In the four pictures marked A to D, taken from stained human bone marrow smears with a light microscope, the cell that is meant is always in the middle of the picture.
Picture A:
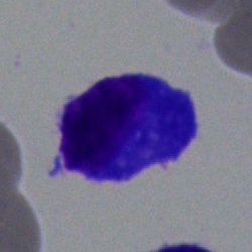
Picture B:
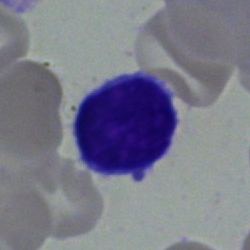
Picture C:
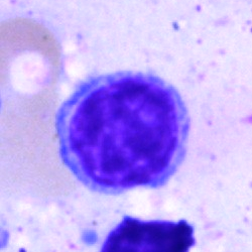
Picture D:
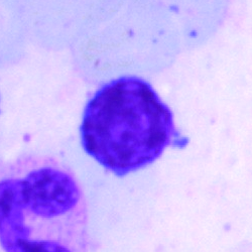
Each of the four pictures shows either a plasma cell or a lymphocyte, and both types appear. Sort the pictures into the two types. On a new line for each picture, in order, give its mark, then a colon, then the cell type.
A: plasma cell
B: lymphocyte
C: lymphocyte
D: lymphocyte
